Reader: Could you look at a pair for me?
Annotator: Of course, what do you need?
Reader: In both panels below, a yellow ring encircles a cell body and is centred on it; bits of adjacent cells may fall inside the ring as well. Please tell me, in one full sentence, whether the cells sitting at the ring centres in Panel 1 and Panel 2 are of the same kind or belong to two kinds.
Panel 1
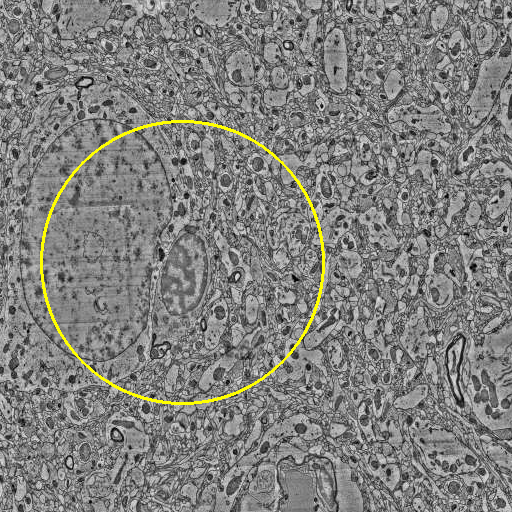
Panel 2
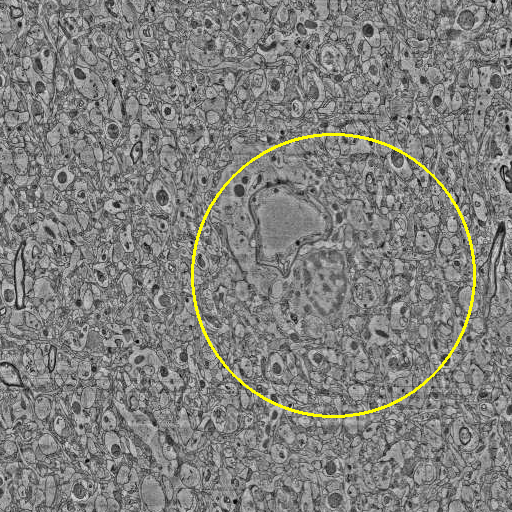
The cell at the ring's centre in Panel 1 and the one in Panel 2 are of the same kind.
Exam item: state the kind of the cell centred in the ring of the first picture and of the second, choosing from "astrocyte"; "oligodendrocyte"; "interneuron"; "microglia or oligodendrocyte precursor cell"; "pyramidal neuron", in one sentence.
Each cell at the centre of a ring is an oligodendrocyte.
